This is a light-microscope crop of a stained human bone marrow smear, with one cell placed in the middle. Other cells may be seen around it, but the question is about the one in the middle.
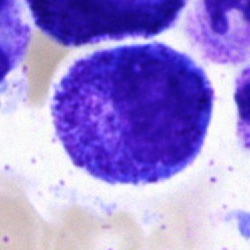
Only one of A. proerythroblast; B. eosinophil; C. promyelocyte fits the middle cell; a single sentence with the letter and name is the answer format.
Option C is right in identifying the central cell as a promyelocyte.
